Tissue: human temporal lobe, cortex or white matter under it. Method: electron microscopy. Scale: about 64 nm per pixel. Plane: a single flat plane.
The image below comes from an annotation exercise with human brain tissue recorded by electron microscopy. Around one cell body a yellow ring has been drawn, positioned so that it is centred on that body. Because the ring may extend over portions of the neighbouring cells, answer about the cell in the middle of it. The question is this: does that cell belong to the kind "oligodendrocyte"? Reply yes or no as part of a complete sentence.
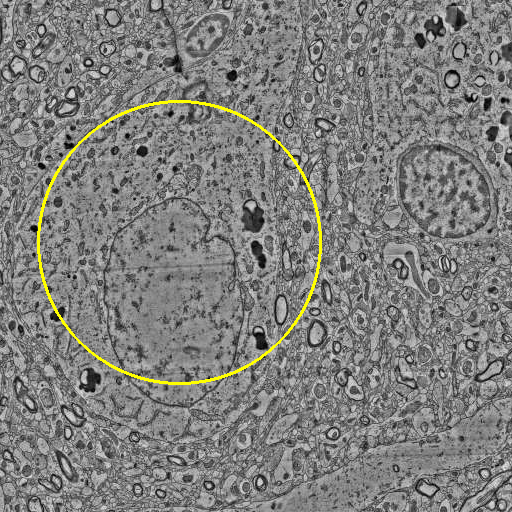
No, in the image the cell in the middle of the ring is of another kind.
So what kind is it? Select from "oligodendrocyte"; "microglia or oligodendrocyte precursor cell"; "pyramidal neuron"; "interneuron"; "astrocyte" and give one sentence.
The ringed cell in this picture is, instead, a pyramidal neuron.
